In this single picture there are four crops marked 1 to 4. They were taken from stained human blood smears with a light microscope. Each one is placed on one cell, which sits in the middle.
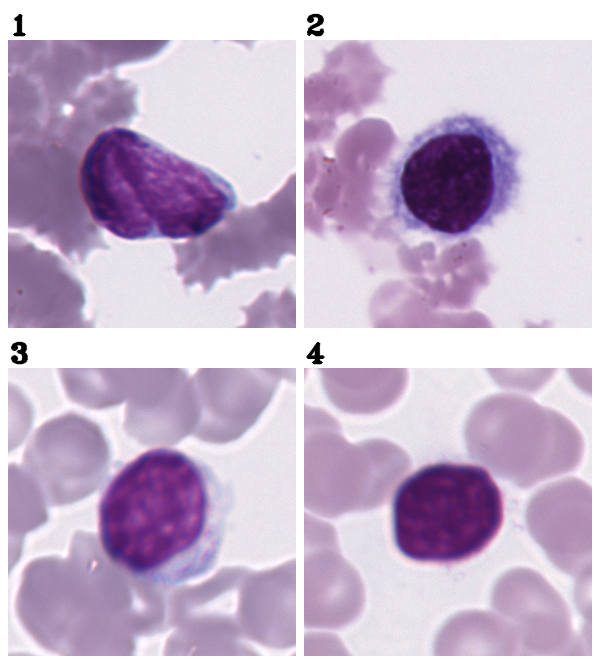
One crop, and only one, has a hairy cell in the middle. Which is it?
2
